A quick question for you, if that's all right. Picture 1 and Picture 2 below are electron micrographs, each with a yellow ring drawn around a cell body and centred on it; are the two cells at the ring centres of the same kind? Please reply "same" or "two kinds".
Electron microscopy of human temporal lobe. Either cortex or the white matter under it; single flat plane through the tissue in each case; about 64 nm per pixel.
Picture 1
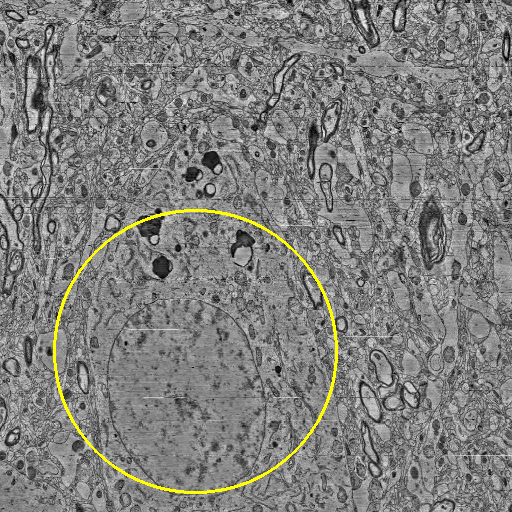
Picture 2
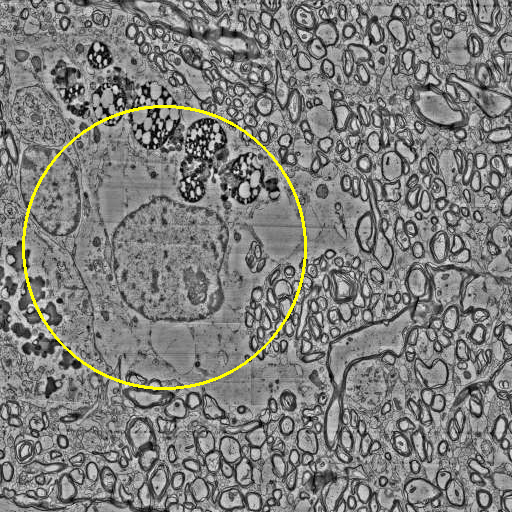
two kinds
